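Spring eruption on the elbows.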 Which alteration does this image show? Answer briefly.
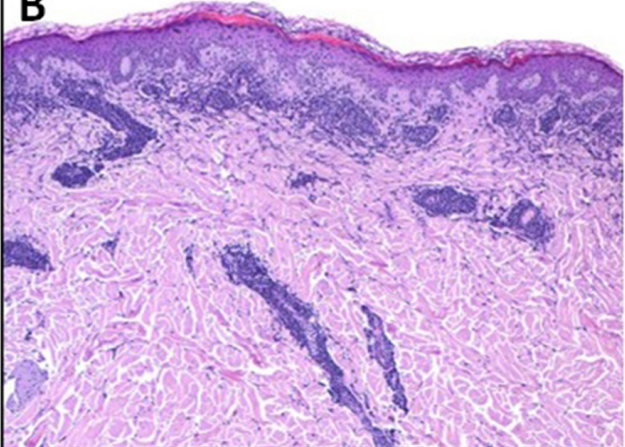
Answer: Superficial and deep perivascular lymphocytic infiltrate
